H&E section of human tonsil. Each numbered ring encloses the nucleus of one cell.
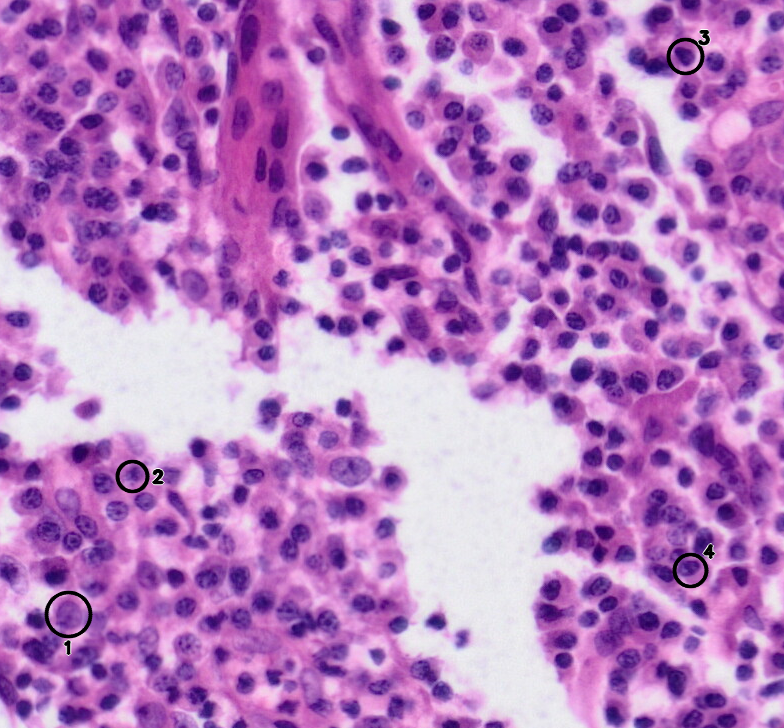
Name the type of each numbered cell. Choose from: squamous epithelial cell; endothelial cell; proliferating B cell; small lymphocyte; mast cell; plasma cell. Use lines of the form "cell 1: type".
cell 1: squamous epithelial cell
cell 2: plasma cell
cell 3: plasma cell
cell 4: plasma cell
